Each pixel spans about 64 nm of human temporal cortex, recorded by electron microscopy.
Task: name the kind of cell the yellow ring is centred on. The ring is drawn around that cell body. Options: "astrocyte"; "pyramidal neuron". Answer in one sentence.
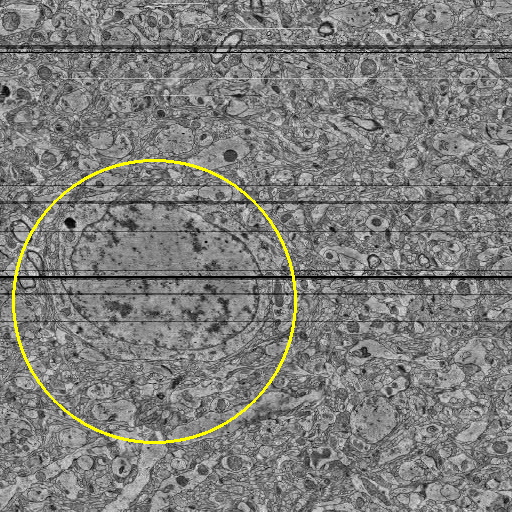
This cell body belongs to a pyramidal neuron.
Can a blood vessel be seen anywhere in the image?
No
